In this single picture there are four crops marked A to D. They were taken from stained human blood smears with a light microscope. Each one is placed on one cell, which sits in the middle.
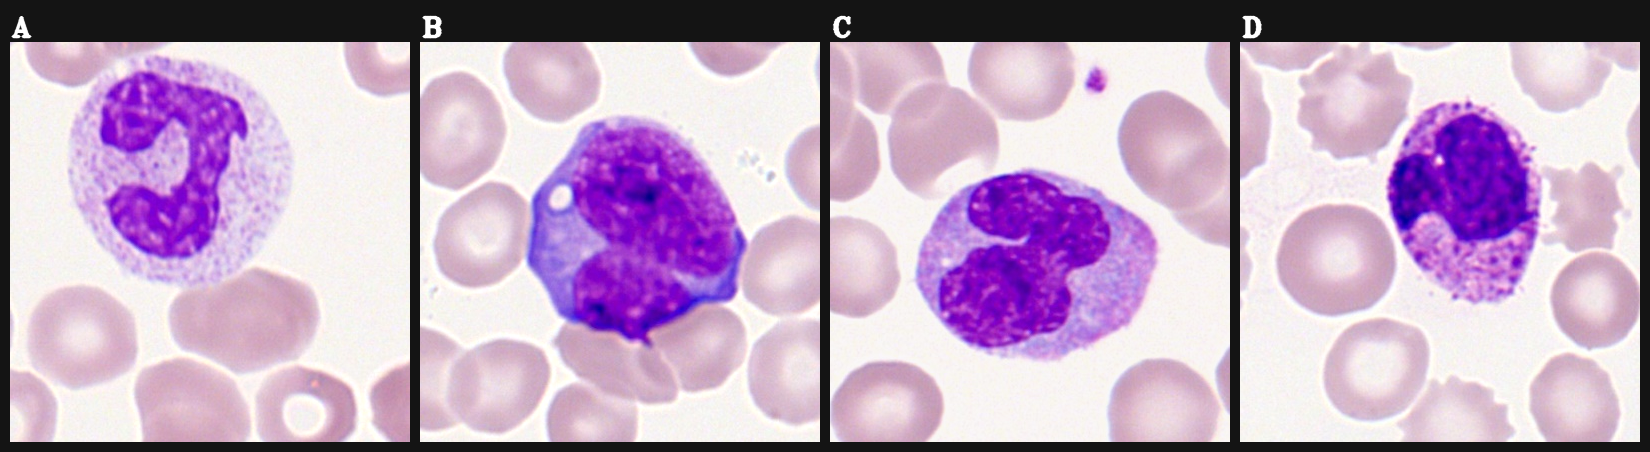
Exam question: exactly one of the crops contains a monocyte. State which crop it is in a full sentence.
Among the crops, only crop C contains a monocyte.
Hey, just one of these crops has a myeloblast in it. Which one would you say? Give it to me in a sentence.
Crop B is the crop that shows a myeloblast in its middle.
